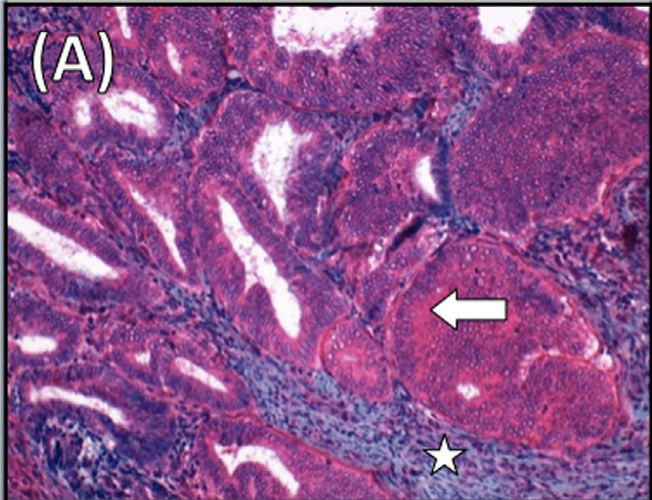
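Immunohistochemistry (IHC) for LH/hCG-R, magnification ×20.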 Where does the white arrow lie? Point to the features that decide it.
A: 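The arrow lies on a solid nest of tumour cells. The red-pink colour fills the cell bodies around the nuclei.
Cytoplasmic.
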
